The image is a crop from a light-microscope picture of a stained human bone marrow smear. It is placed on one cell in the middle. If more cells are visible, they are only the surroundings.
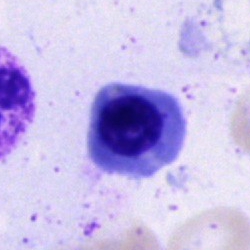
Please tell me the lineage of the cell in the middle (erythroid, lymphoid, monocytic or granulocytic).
erythroid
